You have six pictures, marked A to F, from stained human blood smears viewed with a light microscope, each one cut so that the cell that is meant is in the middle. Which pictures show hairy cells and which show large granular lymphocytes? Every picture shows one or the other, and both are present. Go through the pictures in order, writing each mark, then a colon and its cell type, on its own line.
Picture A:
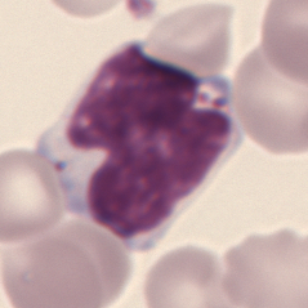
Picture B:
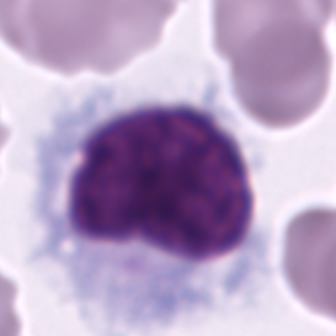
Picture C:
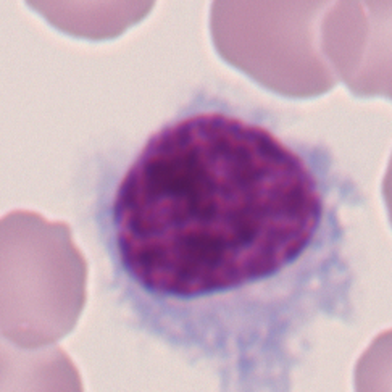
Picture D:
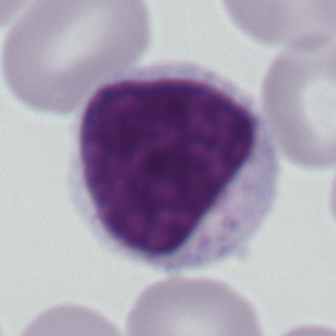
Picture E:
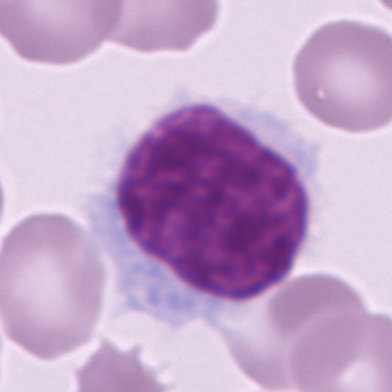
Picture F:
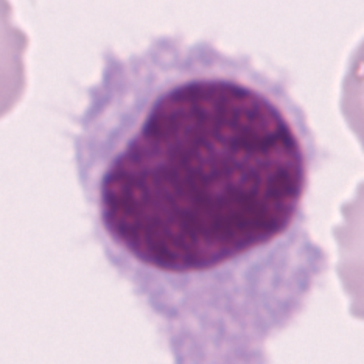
A: large granular lymphocyte
B: hairy cell
C: hairy cell
D: large granular lymphocyte
E: hairy cell
F: hairy cell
